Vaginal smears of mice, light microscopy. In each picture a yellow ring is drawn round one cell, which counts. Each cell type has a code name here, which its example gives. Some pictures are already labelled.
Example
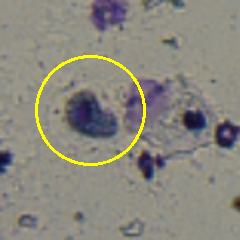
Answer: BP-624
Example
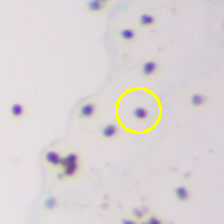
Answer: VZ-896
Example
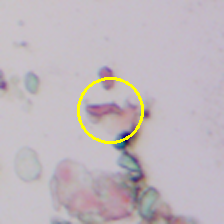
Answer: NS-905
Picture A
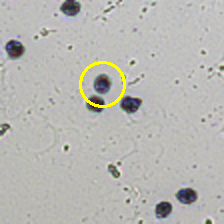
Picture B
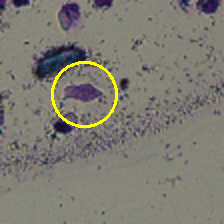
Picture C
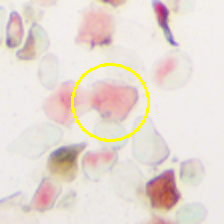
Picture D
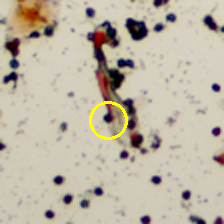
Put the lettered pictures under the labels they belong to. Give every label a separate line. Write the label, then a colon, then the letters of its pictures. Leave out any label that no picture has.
VZ-896: A, D
NS-905: B, C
